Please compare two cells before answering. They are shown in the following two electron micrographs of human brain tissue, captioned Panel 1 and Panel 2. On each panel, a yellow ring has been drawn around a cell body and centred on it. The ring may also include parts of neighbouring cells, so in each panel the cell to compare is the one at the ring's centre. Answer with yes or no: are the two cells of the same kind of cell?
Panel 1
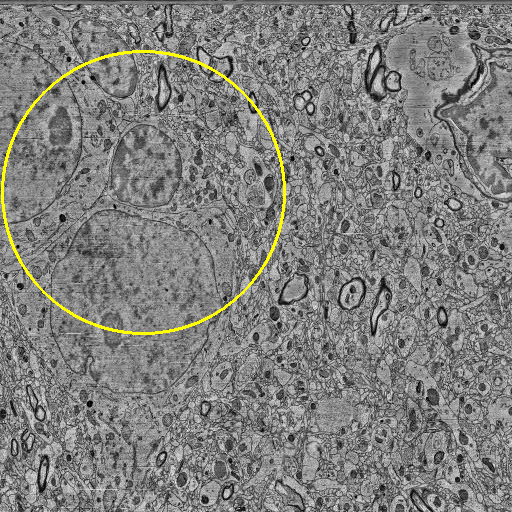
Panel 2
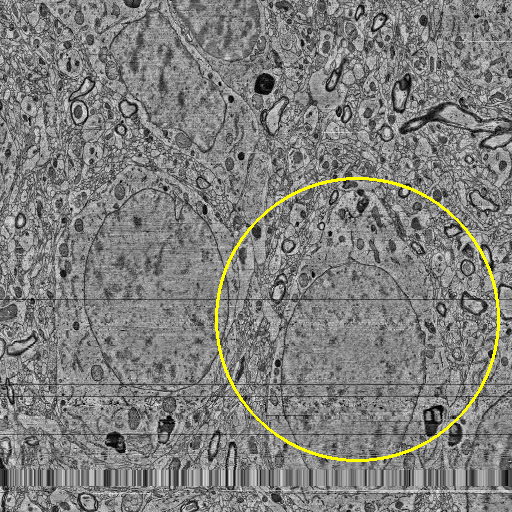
no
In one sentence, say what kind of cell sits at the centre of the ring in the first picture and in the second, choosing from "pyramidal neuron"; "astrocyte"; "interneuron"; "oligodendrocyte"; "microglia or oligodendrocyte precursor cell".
The first picture's ringed cell is an oligodendrocyte, while the second picture's is a pyramidal neuron.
